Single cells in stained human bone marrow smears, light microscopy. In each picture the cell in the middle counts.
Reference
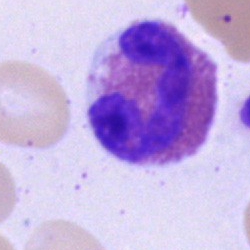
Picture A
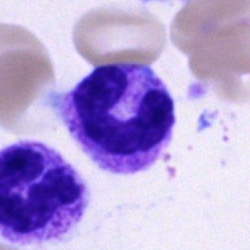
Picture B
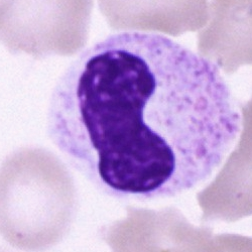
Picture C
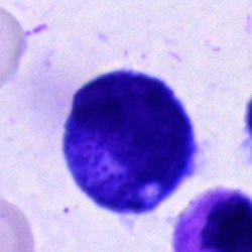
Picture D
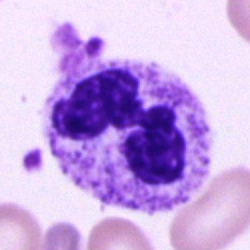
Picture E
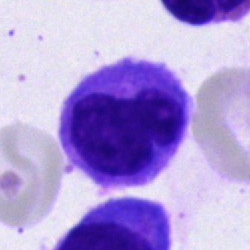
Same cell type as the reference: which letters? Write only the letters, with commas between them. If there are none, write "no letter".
no letter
